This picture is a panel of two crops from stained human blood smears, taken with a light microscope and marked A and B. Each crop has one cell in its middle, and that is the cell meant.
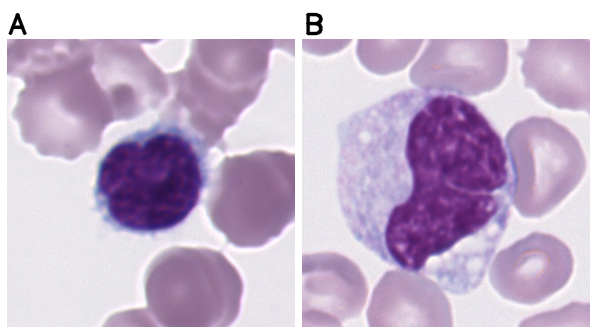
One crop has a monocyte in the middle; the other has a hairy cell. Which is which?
A: hairy cell
B: monocyte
